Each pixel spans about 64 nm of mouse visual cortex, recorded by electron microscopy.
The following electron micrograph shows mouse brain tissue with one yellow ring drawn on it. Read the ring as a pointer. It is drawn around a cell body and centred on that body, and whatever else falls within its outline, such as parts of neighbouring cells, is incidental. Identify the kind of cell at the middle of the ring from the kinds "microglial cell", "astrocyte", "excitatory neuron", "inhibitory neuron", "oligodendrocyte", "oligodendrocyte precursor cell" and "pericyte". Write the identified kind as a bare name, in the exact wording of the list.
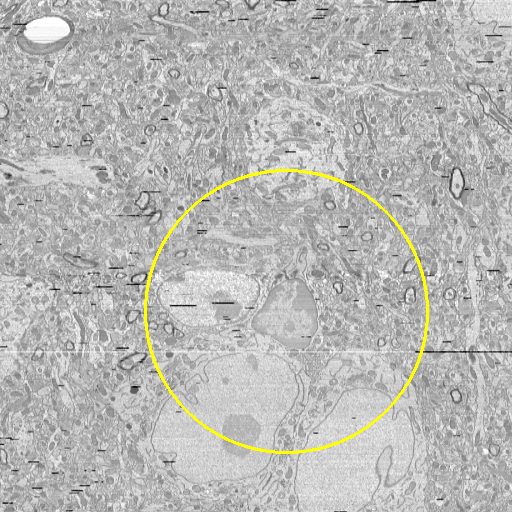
microglial cell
